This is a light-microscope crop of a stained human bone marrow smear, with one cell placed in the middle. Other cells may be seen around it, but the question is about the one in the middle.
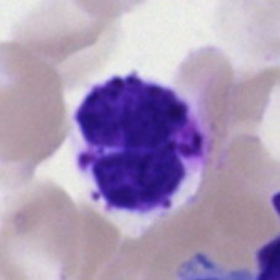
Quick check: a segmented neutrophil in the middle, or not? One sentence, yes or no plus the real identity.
No, in this crop the middle cell is a basophil, not a segmented neutrophil.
